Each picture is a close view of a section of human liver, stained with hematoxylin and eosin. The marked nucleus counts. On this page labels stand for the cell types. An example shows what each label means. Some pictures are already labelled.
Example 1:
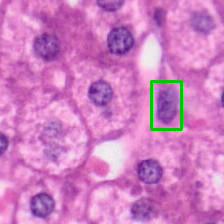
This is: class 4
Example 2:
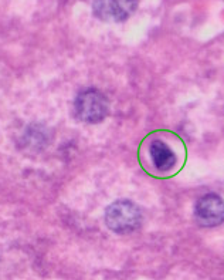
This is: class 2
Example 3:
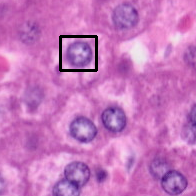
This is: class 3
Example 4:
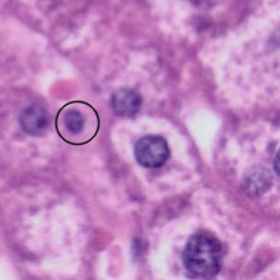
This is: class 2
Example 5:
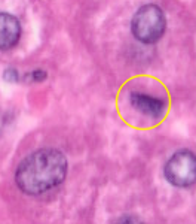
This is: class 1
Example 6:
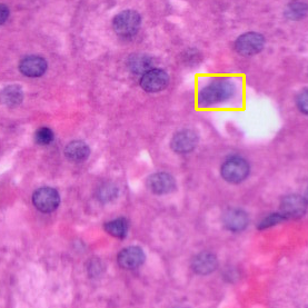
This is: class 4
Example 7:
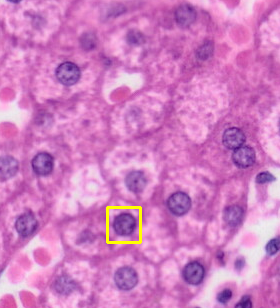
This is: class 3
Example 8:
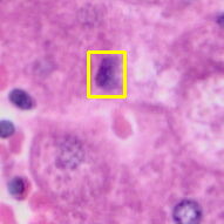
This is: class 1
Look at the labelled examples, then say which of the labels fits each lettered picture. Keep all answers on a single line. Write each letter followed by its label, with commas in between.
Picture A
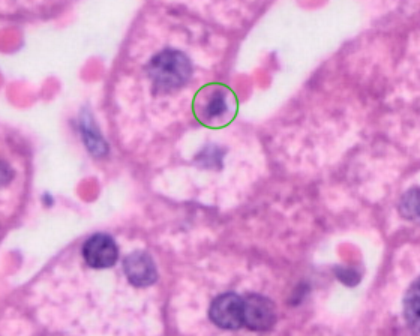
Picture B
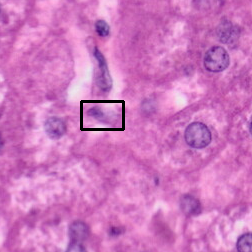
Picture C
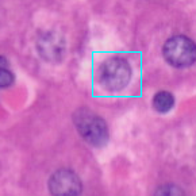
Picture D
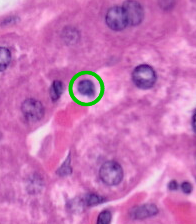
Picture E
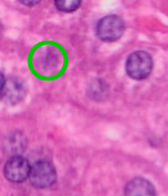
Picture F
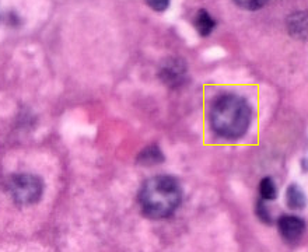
A class 1, B class 4, C class 3, D class 2, E class 3, F class 3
